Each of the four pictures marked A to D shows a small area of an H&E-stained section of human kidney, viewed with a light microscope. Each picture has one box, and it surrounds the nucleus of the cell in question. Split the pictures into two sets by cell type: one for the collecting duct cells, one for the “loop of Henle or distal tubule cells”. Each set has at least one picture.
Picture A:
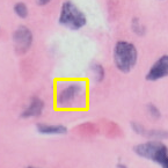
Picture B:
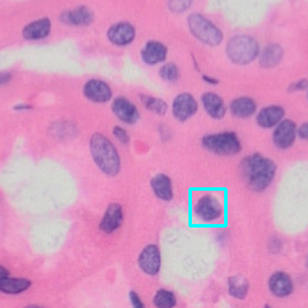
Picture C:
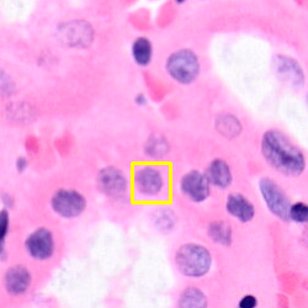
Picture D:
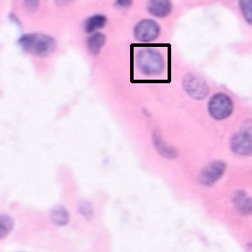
A: loop of Henle or distal tubule cell
B: loop of Henle or distal tubule cell
C: loop of Henle or distal tubule cell
D: collecting duct cell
